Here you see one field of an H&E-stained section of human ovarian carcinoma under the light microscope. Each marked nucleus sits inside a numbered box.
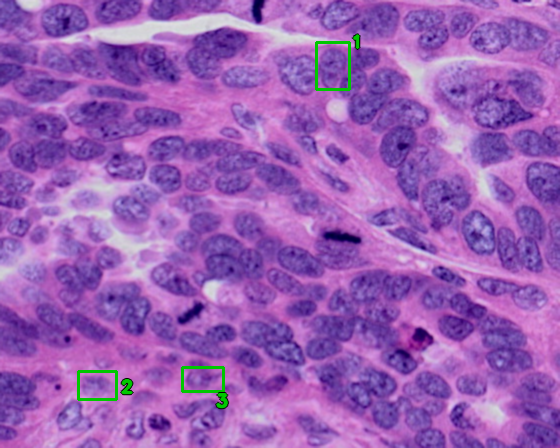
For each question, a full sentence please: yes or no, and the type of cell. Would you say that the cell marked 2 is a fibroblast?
Yes, cell number 2 in this section is a fibroblast.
